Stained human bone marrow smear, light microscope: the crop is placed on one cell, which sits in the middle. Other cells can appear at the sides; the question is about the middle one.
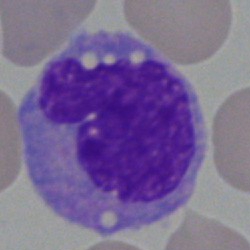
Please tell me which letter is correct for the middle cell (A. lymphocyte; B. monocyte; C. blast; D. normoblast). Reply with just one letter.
B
